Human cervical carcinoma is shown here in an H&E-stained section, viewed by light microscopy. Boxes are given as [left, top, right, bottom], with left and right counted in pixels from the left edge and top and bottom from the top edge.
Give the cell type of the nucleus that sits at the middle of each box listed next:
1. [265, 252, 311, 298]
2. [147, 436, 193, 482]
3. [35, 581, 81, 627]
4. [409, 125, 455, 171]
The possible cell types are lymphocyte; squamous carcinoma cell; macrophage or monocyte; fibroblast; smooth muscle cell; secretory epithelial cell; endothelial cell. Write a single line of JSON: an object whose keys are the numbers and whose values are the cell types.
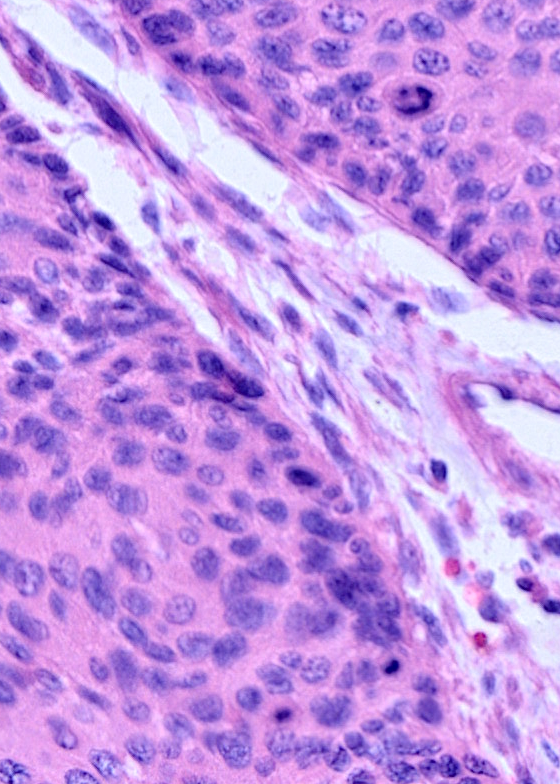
{"1": "fibroblast", "2": "squamous carcinoma cell", "3": "squamous carcinoma cell", "4": "squamous carcinoma cell"}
